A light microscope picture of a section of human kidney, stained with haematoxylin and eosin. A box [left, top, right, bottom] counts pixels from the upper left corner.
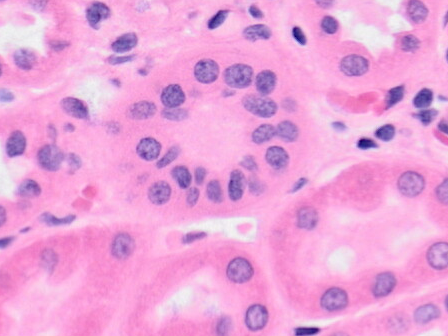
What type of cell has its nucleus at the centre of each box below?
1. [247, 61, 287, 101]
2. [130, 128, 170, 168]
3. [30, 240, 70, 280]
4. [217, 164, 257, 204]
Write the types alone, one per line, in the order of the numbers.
collecting duct cell
collecting duct cell
proximal tubule cell
collecting duct cell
